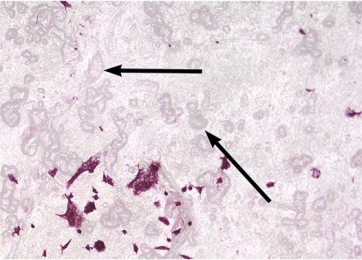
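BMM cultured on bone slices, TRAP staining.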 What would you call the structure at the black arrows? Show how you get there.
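Pale, rounded, outlined depressions on the bone surface at the arrow tips. Many such outlined pits are scattered and partly joined across the slice.
Hence: resorption pits.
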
